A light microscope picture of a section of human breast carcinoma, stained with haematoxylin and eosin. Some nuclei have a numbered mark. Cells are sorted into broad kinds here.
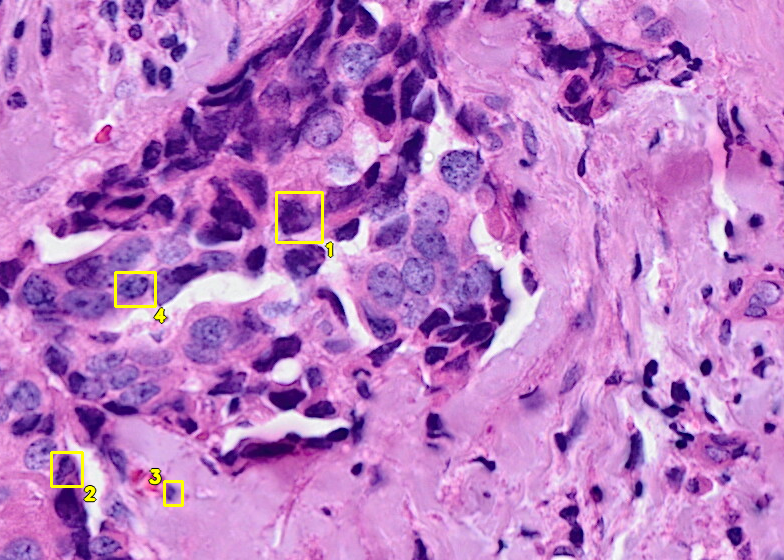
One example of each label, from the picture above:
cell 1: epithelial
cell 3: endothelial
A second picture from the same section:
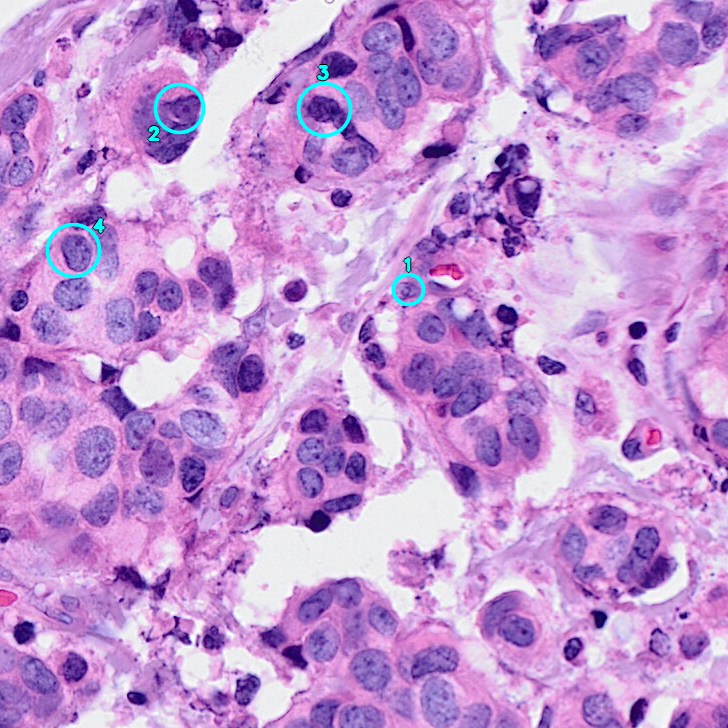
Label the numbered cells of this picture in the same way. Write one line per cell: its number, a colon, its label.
1: endothelial
2: epithelial
3: epithelial
4: epithelial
